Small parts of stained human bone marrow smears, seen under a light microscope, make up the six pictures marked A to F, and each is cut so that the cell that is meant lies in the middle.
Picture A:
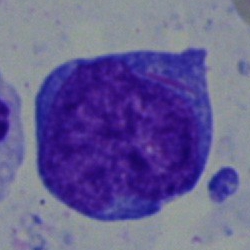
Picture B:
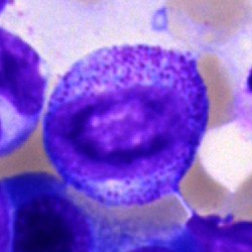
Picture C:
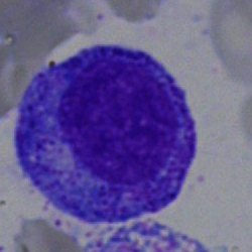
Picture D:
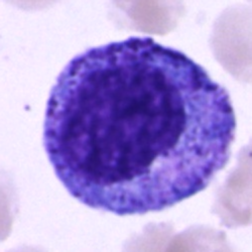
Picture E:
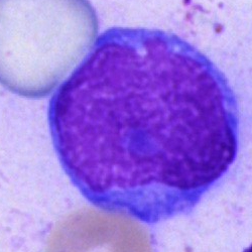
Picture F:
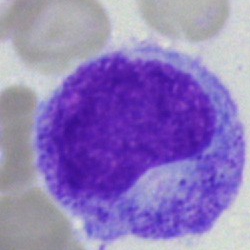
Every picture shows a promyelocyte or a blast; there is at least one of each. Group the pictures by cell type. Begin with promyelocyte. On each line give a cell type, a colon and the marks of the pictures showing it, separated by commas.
promyelocyte: B, C, D, F
blast: A, E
